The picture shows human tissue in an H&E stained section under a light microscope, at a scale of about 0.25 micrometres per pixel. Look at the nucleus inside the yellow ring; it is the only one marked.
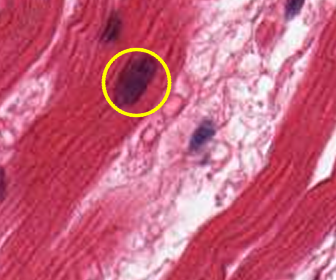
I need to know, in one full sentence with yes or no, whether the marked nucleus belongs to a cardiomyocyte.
Yes, the marked nucleus is held by a cardiomyocyte.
